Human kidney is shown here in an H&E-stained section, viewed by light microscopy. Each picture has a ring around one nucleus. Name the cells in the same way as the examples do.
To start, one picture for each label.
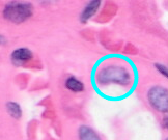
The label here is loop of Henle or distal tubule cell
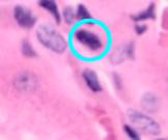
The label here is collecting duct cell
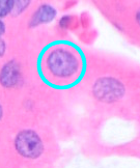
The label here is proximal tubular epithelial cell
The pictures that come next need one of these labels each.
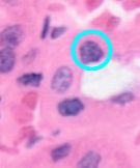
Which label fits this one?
loop of Henle or distal tubule cell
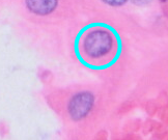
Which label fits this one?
proximal tubular epithelial cell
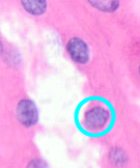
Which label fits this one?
loop of Henle or distal tubule cell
